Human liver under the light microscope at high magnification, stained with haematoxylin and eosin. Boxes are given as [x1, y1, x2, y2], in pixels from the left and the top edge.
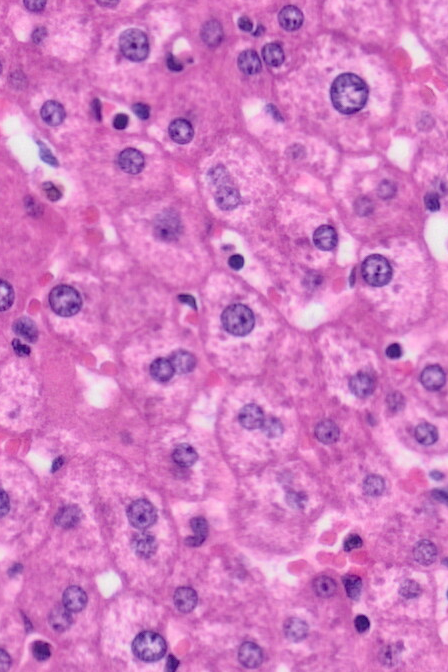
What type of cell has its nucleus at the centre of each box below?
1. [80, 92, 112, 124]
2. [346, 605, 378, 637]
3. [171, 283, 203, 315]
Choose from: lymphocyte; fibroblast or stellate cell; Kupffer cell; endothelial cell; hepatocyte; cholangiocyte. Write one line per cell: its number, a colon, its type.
1: endothelial cell
2: lymphocyte
3: endothelial cell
